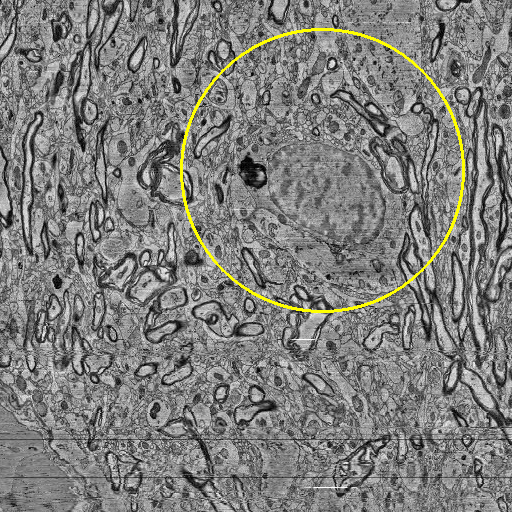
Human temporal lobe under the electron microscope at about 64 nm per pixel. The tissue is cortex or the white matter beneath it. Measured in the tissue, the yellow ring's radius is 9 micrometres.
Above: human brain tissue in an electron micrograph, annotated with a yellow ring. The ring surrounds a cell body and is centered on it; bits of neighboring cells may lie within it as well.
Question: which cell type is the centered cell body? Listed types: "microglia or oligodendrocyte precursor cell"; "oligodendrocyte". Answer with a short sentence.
The centered cell body is an oligodendrocyte.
